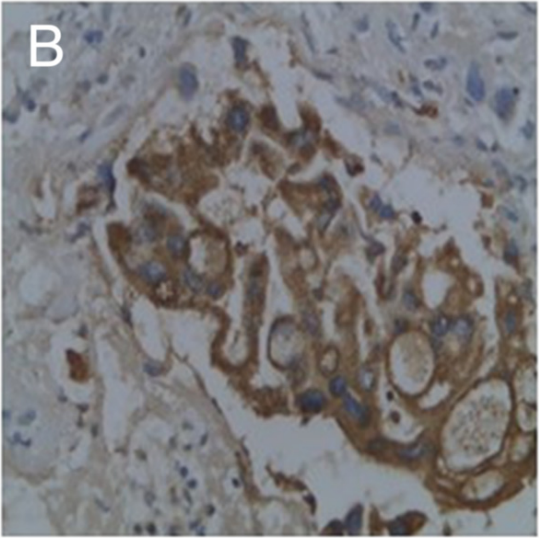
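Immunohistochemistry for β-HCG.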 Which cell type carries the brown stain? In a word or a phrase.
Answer: Tumour cells.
